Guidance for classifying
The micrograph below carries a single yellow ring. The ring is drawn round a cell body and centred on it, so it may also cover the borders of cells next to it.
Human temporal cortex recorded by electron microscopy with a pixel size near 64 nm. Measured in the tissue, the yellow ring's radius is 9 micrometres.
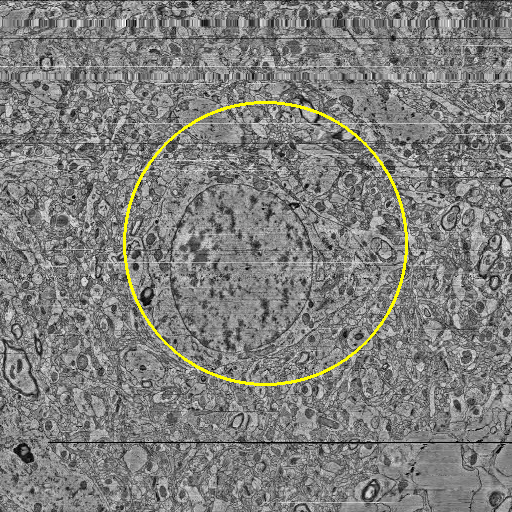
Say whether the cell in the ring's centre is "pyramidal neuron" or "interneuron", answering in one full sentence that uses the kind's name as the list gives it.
Within the yellow ring, a pyramidal neuron is the cell whose body sits at the centre.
